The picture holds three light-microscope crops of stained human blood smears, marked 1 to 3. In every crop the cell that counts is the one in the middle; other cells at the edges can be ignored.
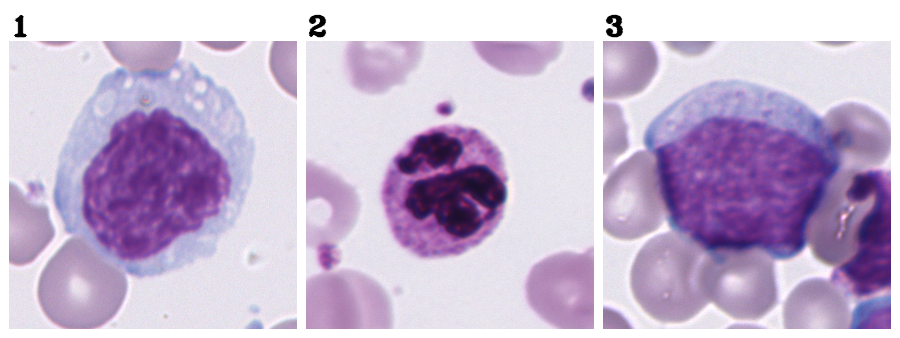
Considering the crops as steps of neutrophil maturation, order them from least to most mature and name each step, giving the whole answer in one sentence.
The least to most mature sequence reads crop 1 (a myeloblast), crop 3 (a promyelocyte) and crop 2 (a segmented neutrophil).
